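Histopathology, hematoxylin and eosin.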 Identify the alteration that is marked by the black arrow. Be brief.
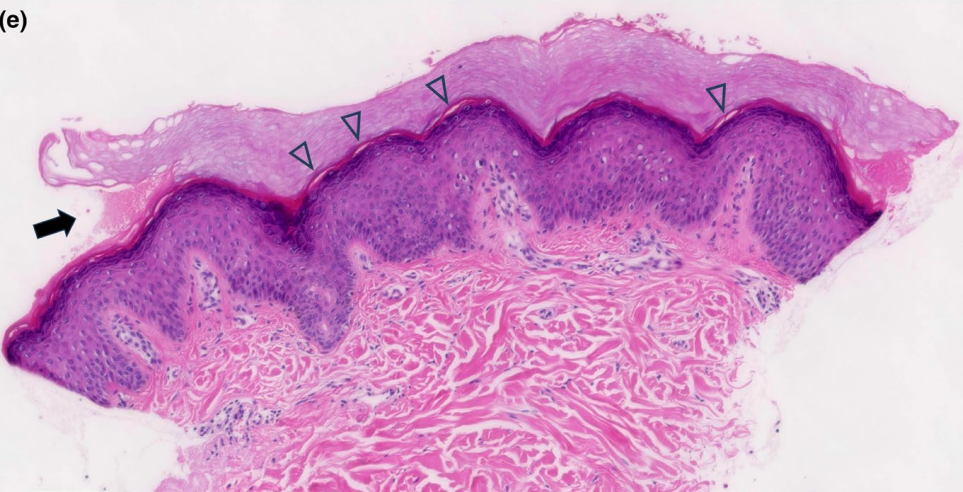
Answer: a cleft between the stratum granulosum and corneum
